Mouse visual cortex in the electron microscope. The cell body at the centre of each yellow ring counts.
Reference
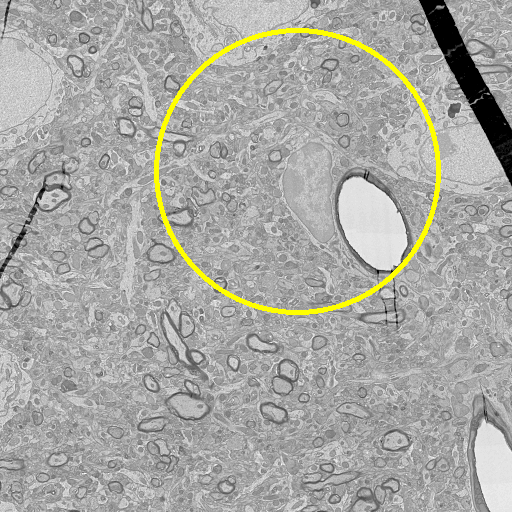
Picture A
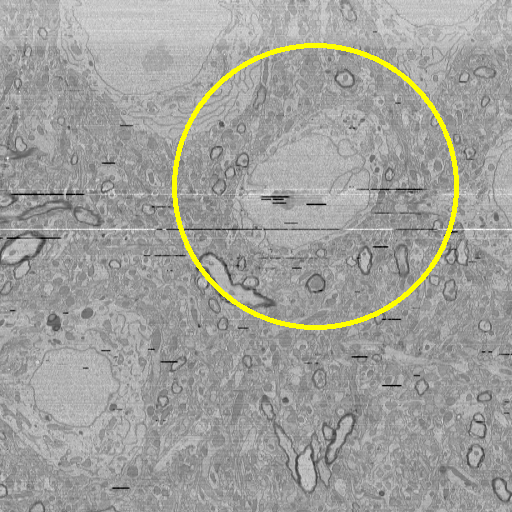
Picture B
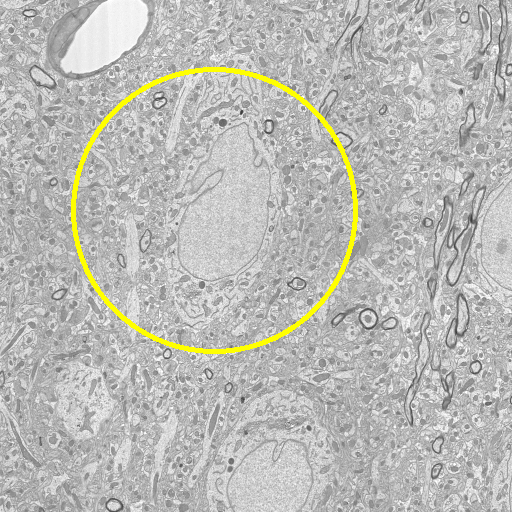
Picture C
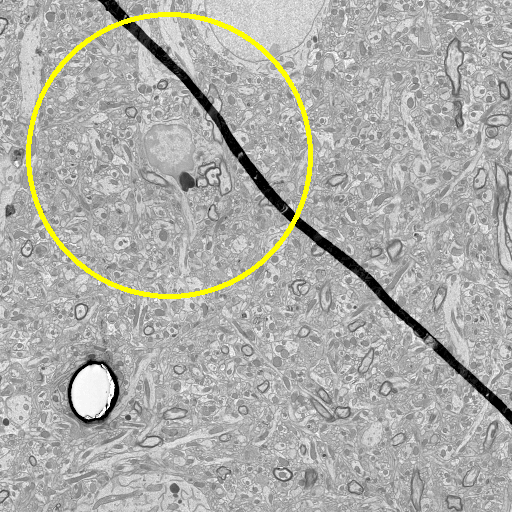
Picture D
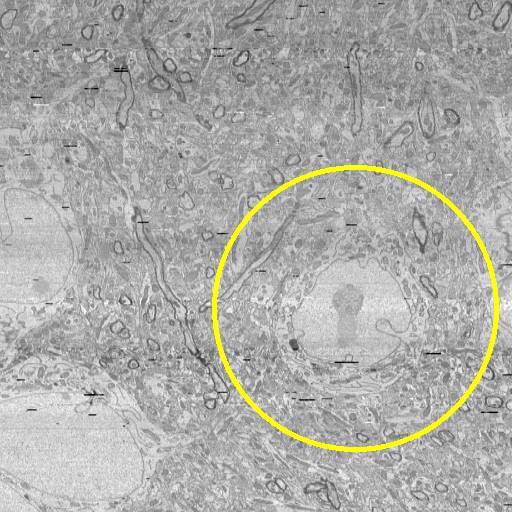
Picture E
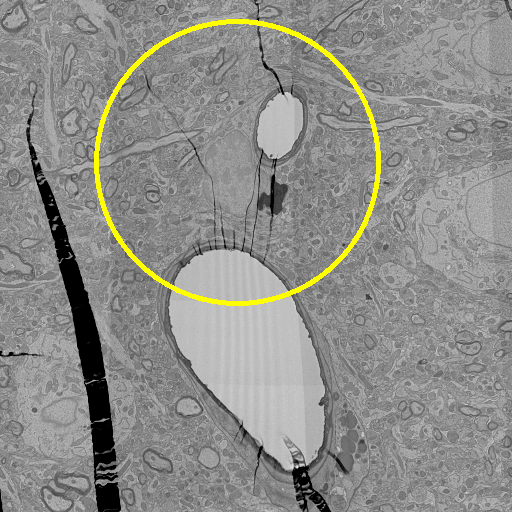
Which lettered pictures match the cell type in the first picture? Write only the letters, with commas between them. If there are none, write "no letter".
C, E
